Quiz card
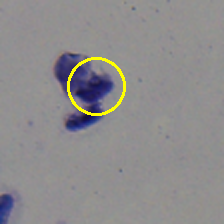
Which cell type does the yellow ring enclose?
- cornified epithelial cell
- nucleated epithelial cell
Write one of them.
cornified epithelial cell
